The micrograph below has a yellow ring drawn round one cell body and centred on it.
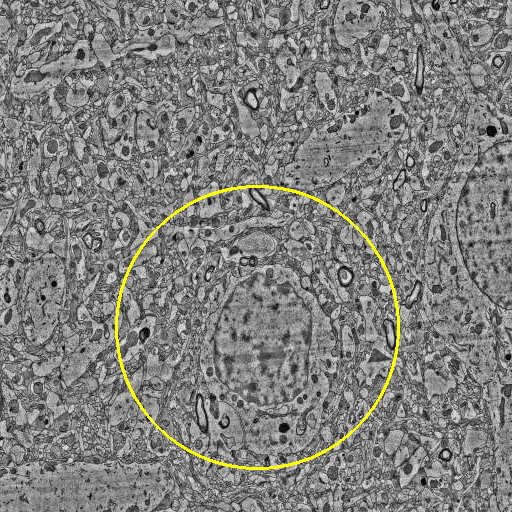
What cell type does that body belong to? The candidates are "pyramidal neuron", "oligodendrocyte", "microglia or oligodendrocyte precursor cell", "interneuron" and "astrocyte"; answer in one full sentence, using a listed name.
This is an interneuron, the cell whose body lies at the centre of the ring.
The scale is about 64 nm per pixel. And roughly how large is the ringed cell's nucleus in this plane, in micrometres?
In this plane, approximately 8 by 6 micrometers.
